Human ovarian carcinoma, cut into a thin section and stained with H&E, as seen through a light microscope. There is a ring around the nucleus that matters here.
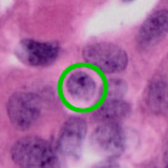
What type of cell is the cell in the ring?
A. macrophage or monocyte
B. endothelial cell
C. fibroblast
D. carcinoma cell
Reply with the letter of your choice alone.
A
